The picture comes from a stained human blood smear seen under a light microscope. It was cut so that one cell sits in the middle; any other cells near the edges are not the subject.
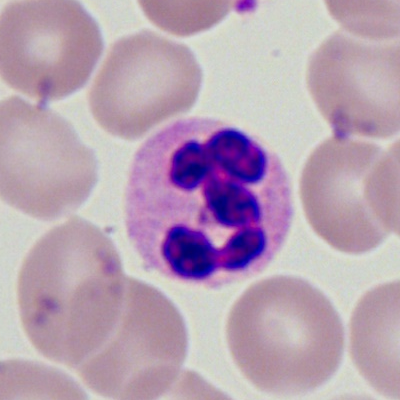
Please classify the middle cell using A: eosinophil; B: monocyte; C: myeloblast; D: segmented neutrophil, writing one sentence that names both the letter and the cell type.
In the centre of the crop there is a segmented neutrophil, making option D correct.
